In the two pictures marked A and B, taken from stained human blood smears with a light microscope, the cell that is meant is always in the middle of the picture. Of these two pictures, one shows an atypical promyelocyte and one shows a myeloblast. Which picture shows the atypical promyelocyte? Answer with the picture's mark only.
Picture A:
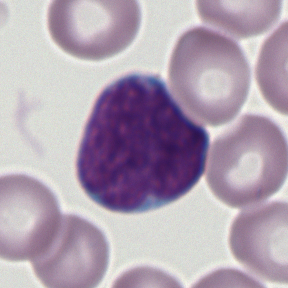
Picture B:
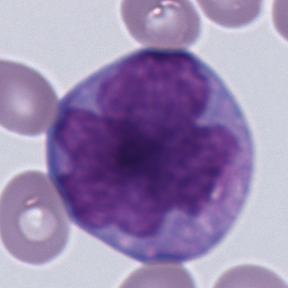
B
